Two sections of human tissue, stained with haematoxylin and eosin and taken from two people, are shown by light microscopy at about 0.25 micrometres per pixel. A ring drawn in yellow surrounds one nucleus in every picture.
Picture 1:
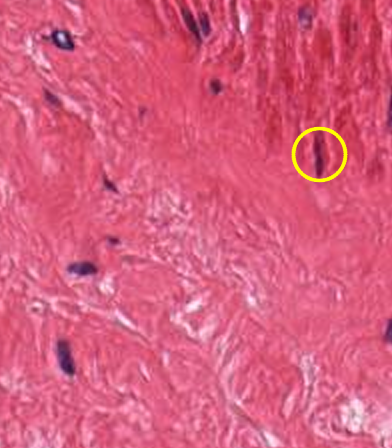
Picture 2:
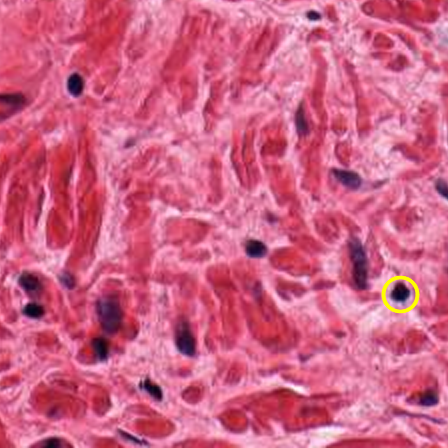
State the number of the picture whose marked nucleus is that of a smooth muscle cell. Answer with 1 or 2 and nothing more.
1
